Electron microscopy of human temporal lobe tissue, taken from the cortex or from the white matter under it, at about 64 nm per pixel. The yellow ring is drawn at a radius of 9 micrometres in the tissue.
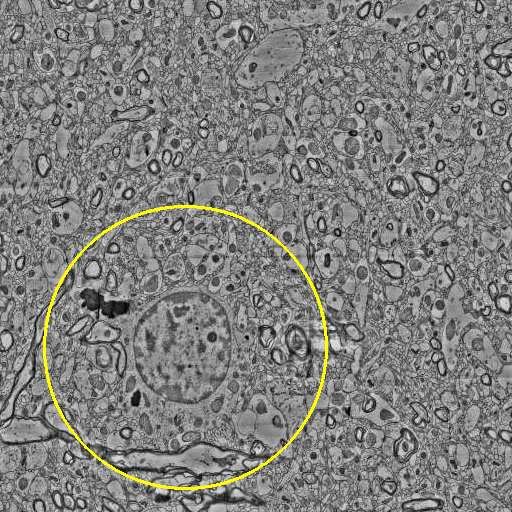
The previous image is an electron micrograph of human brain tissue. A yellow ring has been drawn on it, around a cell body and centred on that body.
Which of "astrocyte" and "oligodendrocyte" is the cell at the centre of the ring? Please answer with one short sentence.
The cell body at the centre of the ring belongs to an oligodendrocyte.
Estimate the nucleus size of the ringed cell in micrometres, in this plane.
Roughly 7 micrometers across in this plane.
